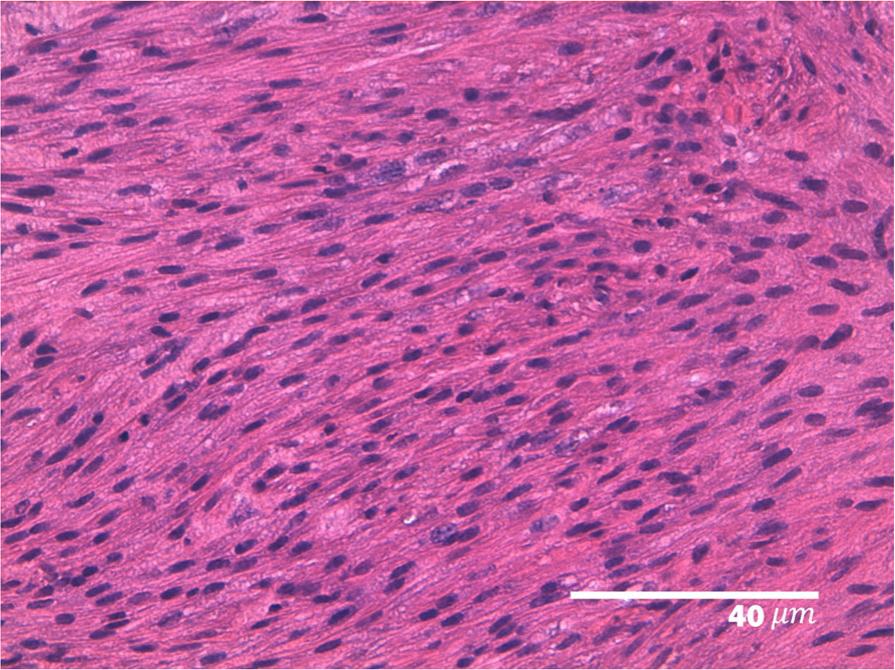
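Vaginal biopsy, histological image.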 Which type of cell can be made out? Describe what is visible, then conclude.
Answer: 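Cells are elongated with tapered ends. Nuclei are oval to elongated and dark purple. Cytoplasm is pink and fibrillar. Cells run in parallel streaming bundles.
Spindle elements.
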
